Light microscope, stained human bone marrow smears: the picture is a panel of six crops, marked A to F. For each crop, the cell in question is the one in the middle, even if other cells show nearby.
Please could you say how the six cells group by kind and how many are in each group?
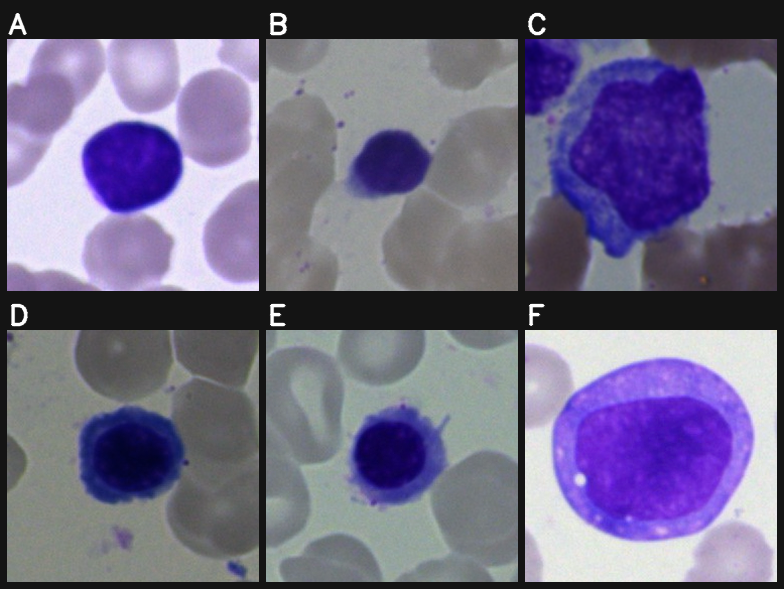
lymphocyte: 2
blast: 2
erythroblast: 2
